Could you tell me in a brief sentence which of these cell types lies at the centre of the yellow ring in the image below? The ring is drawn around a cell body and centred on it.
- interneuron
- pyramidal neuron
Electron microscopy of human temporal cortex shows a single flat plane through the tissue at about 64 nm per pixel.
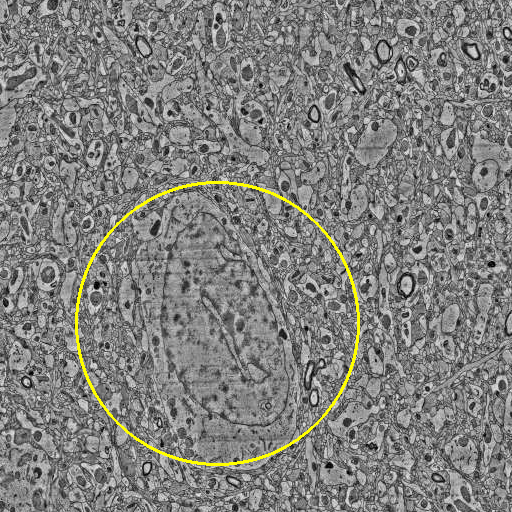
The cell centred in the ring is an interneuron.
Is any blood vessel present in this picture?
No, no vessel shows anywhere in the image.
